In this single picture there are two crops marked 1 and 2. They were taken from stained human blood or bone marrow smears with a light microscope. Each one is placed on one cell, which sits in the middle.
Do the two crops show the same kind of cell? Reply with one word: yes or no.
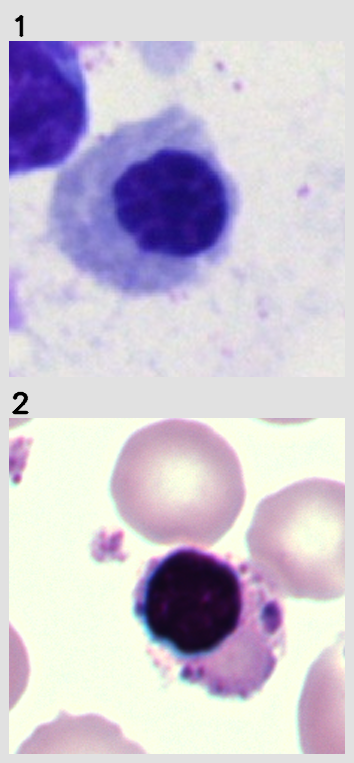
yes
